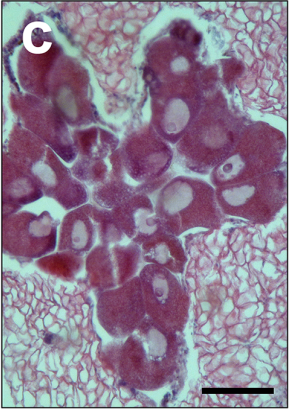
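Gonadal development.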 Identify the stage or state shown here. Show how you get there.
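The follicle is packed with large, closely crowded oocytes. The oocytes have abundant pink cytoplasm and a large pale nucleus.
Hence: mature.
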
